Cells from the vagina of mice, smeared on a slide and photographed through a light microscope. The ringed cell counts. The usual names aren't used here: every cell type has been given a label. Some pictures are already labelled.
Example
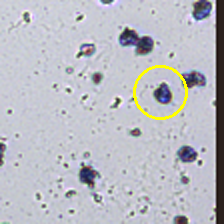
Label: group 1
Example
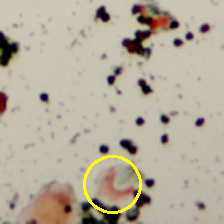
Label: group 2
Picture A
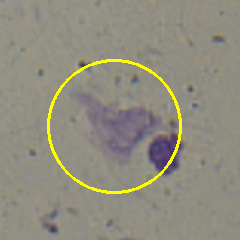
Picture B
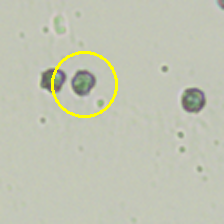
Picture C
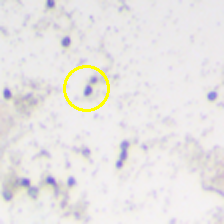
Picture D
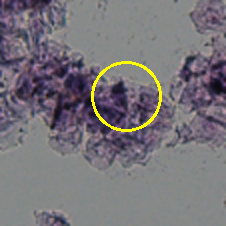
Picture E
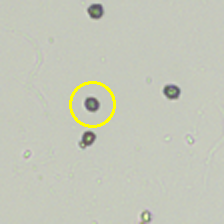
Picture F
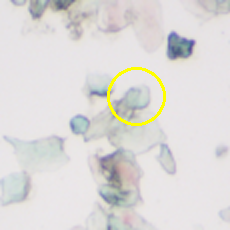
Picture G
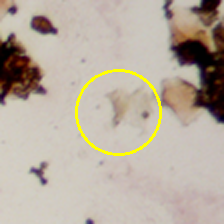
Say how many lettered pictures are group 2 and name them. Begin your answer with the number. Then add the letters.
4: A, D, F, G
